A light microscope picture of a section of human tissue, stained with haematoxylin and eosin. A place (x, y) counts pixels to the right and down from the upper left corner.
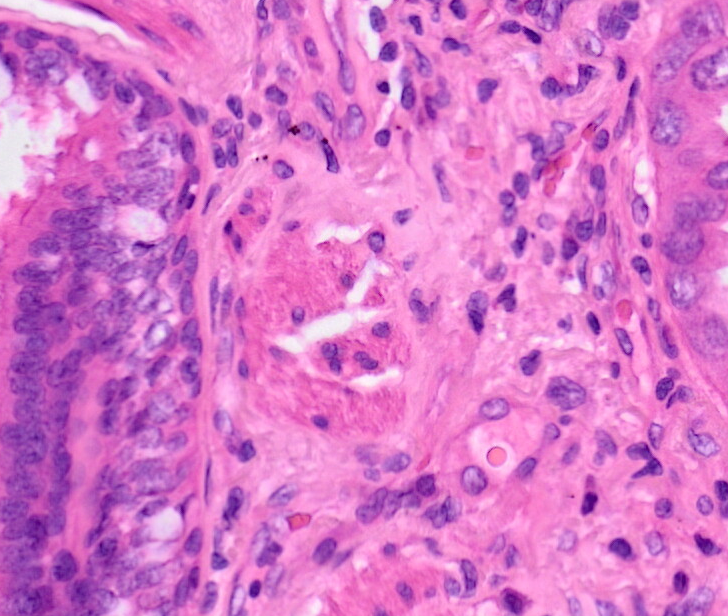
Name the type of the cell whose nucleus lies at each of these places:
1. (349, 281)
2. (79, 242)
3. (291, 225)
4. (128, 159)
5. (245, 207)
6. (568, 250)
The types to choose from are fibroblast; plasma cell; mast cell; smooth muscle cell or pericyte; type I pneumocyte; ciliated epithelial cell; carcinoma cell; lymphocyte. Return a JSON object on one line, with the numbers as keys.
{"1": "smooth muscle cell or pericyte", "2": "ciliated epithelial cell", "3": "smooth muscle cell or pericyte", "4": "ciliated epithelial cell", "5": "smooth muscle cell or pericyte", "6": "plasma cell"}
